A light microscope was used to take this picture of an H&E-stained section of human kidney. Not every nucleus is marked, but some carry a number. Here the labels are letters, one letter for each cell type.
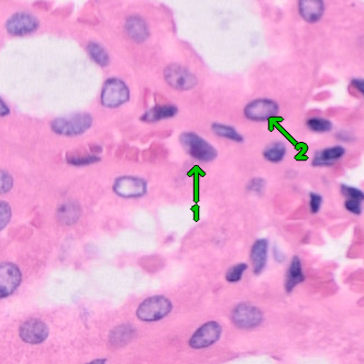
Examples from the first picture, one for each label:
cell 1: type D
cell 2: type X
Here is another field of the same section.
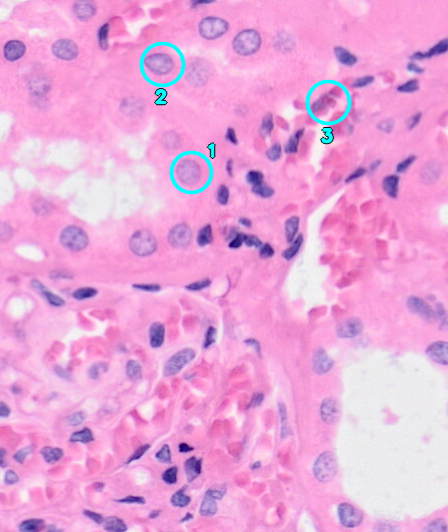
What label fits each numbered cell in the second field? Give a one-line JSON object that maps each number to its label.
{"1": "type X", "2": "type X", "3": "type D"}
